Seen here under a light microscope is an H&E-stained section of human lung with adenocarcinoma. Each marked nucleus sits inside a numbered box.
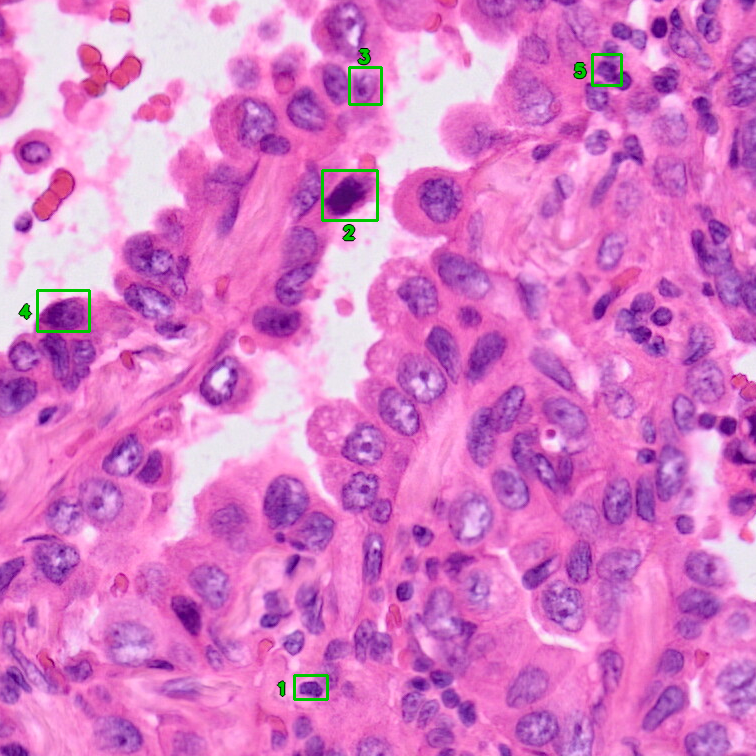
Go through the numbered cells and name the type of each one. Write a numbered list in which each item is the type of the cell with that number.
1. lymphocyte
2. carcinoma cell
3. carcinoma cell
4. carcinoma cell
5. lymphocyte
